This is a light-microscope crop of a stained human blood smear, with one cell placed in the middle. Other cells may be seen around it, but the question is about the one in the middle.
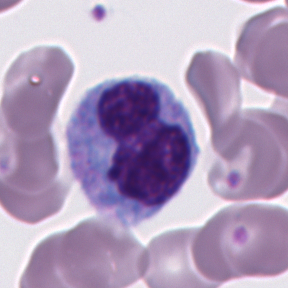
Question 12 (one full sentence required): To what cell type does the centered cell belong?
Classification of the middle cell gives a monocyte.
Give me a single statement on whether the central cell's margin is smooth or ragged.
Smooth all around, the outline has no projections to report.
